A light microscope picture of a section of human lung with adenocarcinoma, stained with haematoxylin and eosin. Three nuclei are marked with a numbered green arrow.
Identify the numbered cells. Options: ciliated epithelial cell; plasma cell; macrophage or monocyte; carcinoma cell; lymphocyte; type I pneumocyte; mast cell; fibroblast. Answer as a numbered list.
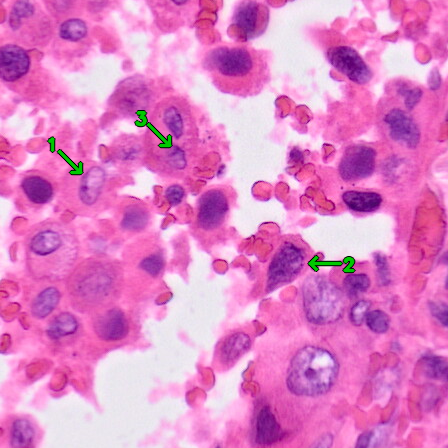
1. macrophage or monocyte
2. carcinoma cell
3. macrophage or monocyte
